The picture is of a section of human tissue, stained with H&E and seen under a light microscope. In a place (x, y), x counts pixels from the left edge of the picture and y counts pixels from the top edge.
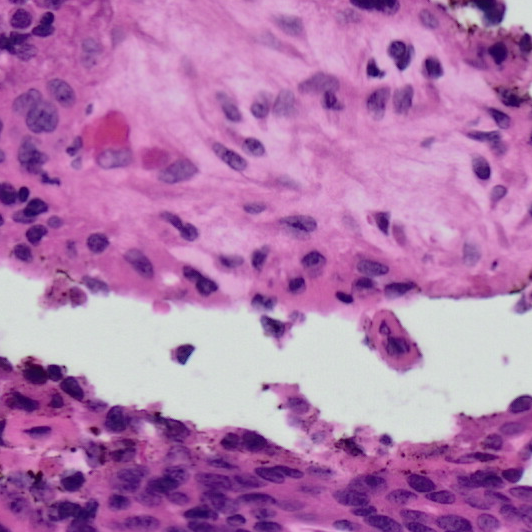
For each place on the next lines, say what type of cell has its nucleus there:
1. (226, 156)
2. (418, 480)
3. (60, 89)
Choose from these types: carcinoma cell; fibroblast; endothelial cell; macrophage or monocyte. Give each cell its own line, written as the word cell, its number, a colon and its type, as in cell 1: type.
cell 1: fibroblast
cell 2: carcinoma cell
cell 3: carcinoma cell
